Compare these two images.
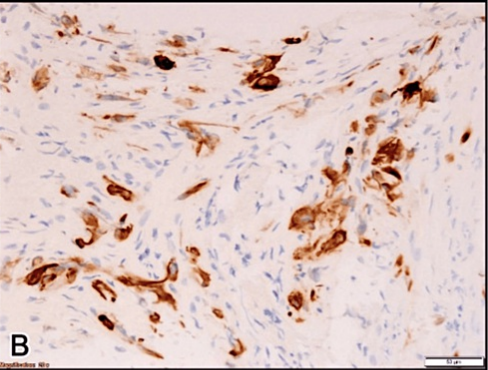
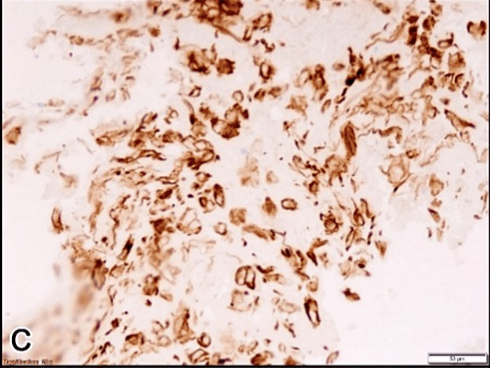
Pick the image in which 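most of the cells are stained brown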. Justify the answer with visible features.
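Second image: brown-stained cells fill most of the field. First image: brown cells are scattered among many blue-only cells.
Answer: the second image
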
